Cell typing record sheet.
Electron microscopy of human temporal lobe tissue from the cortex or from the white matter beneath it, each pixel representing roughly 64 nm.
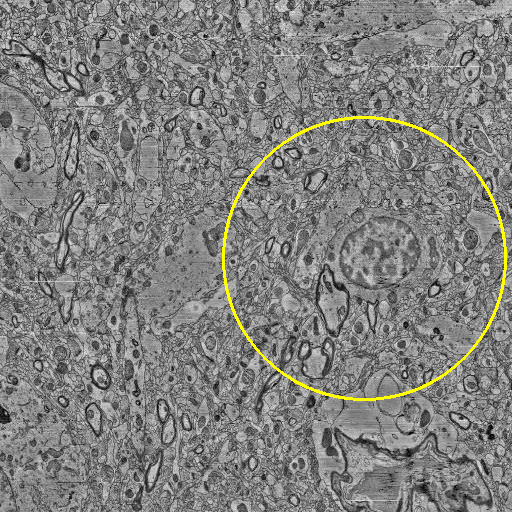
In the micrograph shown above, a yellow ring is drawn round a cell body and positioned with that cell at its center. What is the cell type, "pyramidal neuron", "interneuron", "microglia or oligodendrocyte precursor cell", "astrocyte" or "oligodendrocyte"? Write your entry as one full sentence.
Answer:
The cell body at the center of the ring belongs to an oligodendrocyte.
